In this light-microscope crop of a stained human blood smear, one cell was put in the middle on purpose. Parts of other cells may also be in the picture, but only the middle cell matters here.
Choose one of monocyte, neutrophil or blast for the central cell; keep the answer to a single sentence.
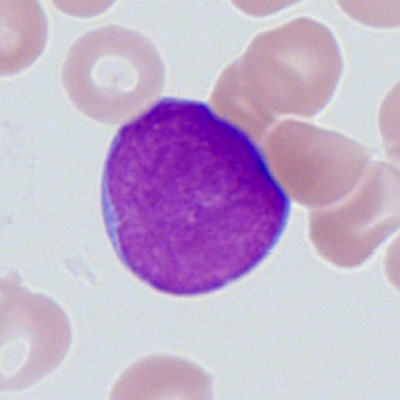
Located at the centre of the crop is a blast.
